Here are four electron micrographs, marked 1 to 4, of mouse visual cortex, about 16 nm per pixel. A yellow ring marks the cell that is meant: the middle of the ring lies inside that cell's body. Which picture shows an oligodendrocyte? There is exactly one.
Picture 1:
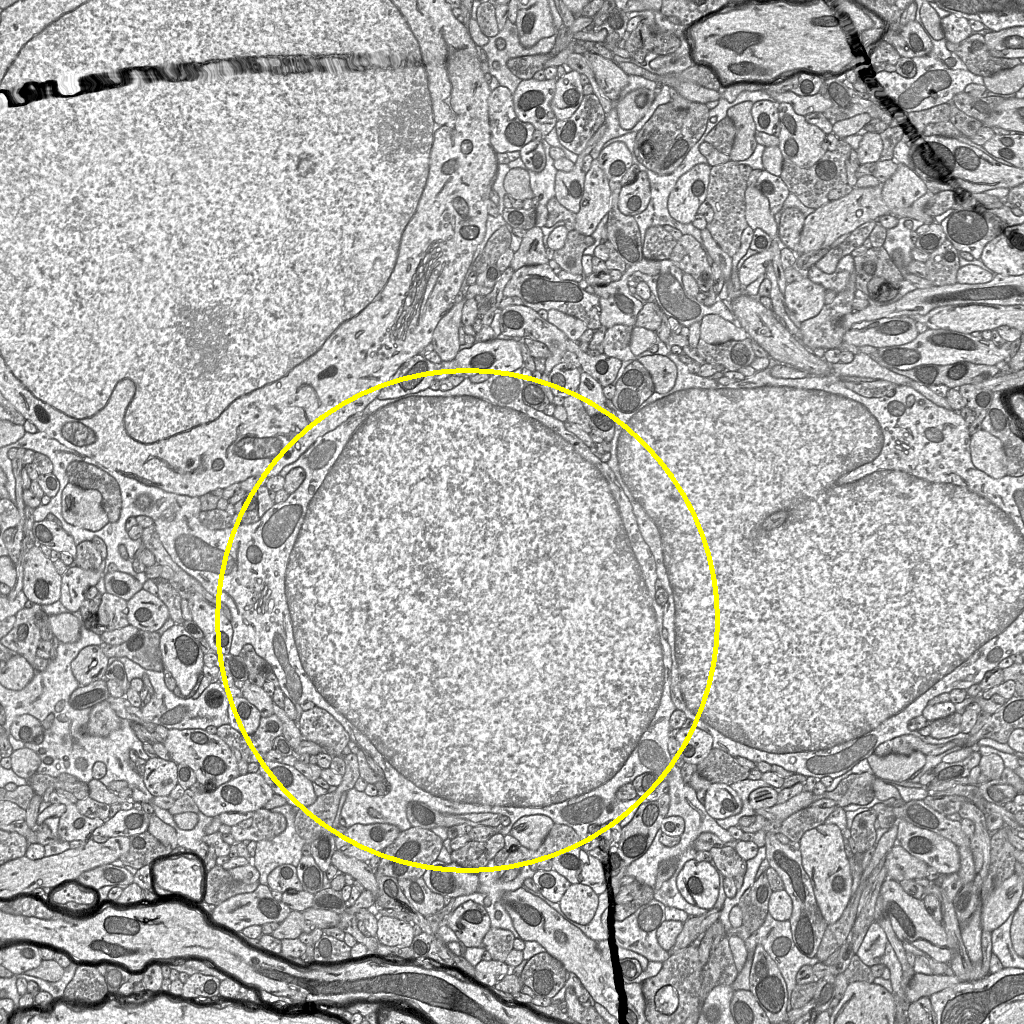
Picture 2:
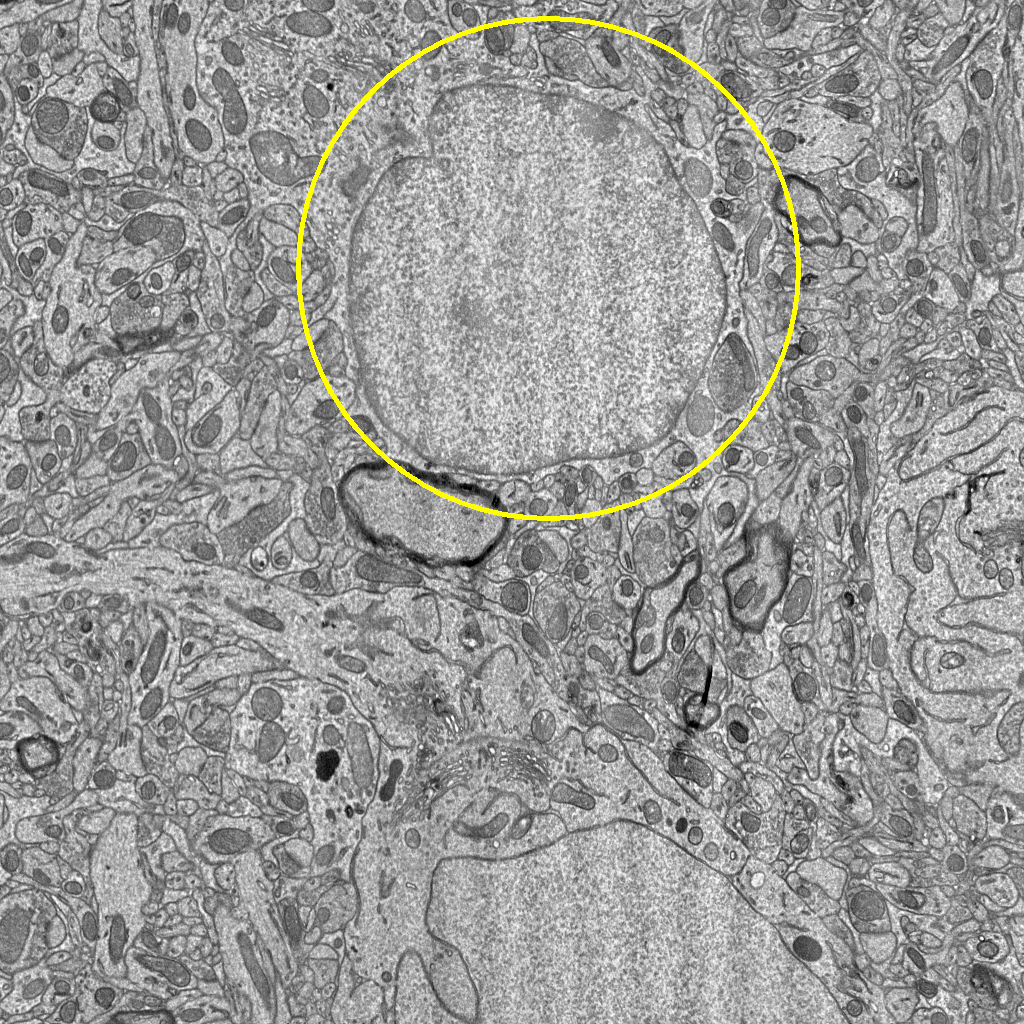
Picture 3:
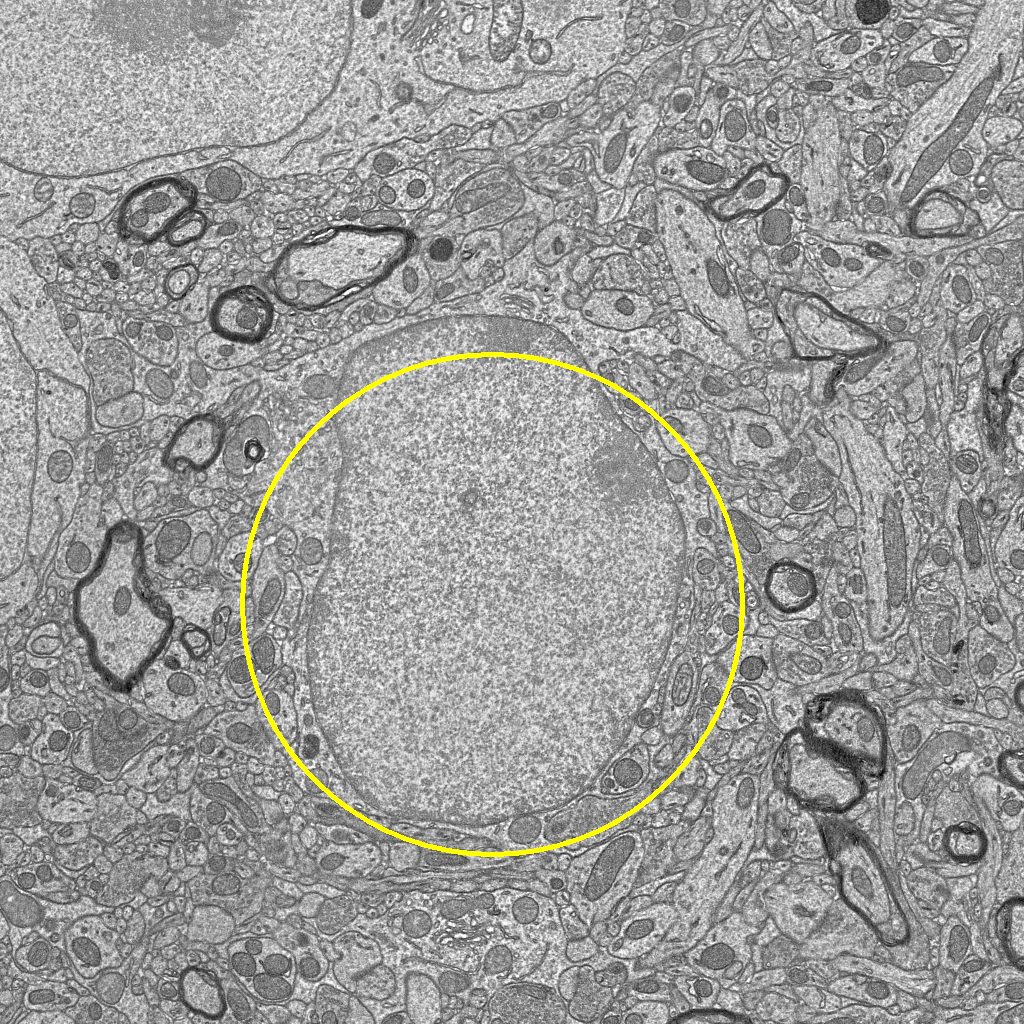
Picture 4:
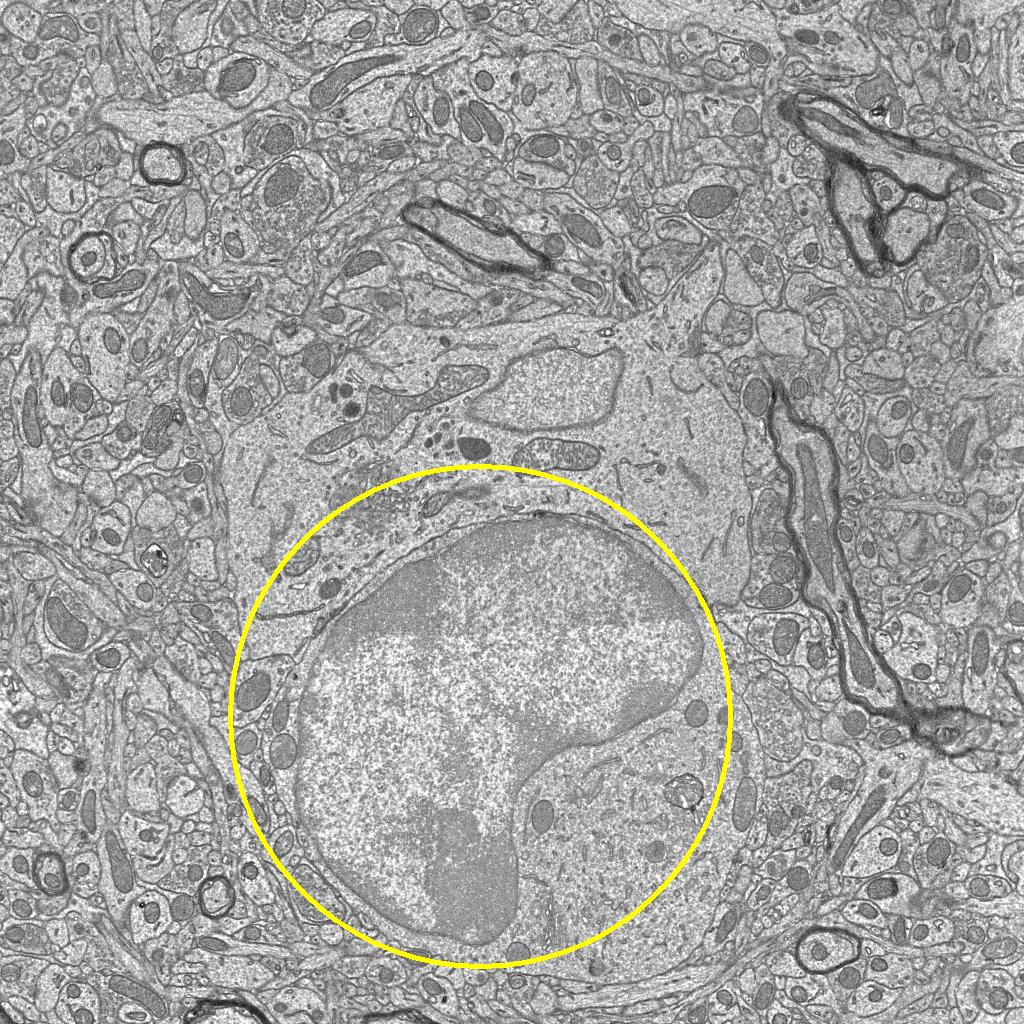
Picture 4 is the one that shows the oligodendrocyte.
